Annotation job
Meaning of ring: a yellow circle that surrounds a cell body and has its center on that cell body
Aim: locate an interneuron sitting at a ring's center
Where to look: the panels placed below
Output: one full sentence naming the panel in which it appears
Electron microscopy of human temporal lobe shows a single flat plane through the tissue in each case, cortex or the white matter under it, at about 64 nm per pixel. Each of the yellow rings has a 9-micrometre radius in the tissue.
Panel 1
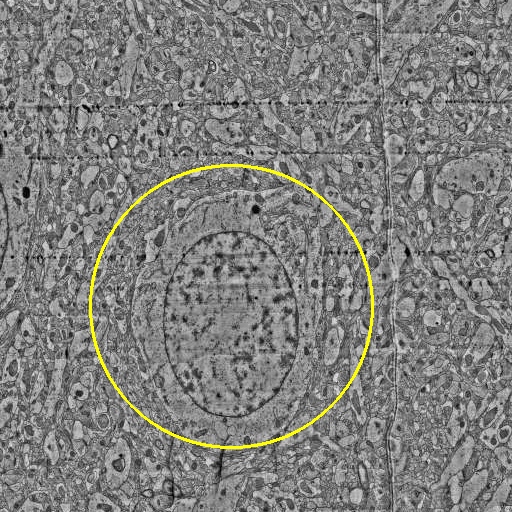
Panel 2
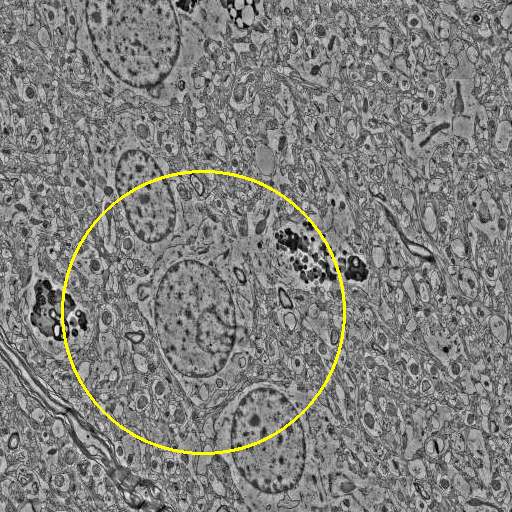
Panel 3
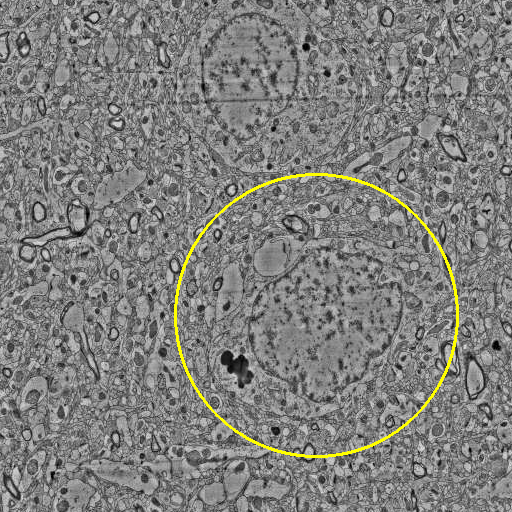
The cell at the center of the ring in panel 3 is the one sought.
